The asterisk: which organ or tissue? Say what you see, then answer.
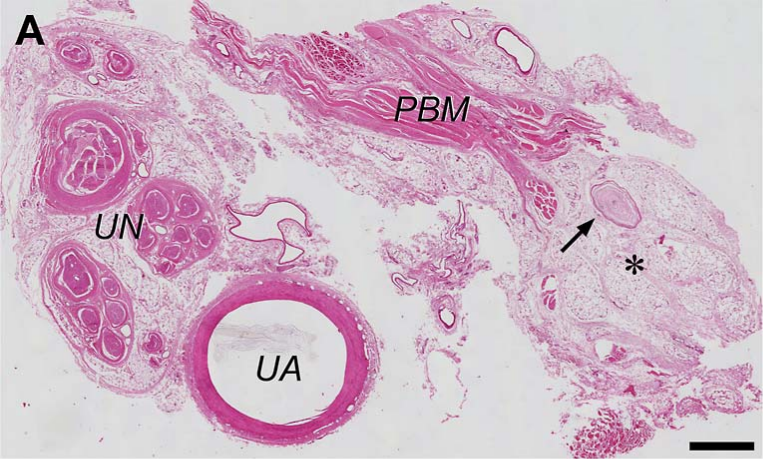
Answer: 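Fat pad. The asterisk sits on pale, finely meshed tissue of empty polygonal spaces. The tissue is loose and lobulated, unlike the dense pink muscle nearby.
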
